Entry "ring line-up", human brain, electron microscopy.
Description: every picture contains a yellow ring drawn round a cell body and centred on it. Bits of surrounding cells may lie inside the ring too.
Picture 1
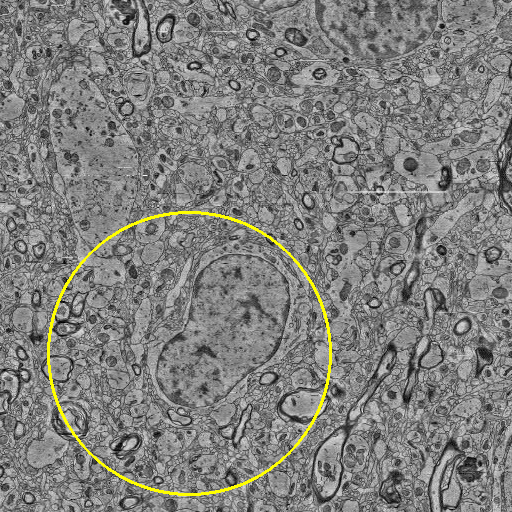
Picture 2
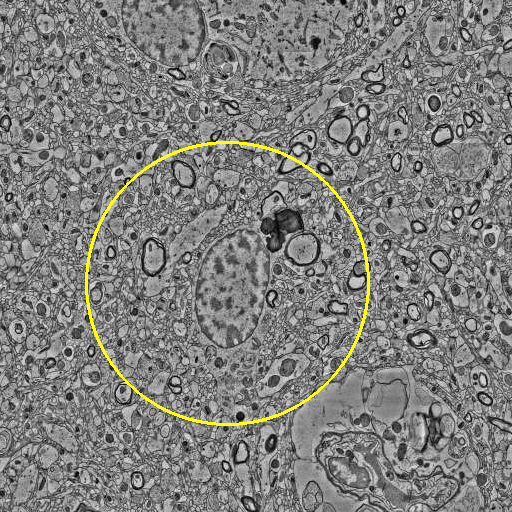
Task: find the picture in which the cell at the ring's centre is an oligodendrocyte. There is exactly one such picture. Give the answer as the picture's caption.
Picture 2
